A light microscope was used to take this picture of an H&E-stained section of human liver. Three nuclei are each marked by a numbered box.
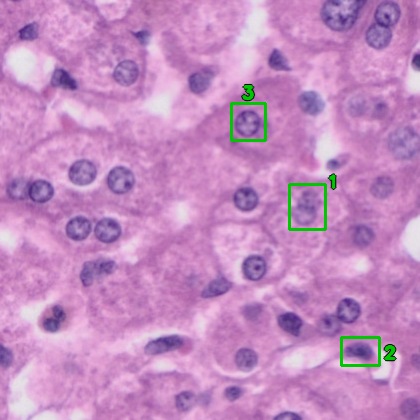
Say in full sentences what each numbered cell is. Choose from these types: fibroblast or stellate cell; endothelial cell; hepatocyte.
Cells 1 and 3 are hepatocytes. Cell 2 is a fibroblast or stellate cell.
